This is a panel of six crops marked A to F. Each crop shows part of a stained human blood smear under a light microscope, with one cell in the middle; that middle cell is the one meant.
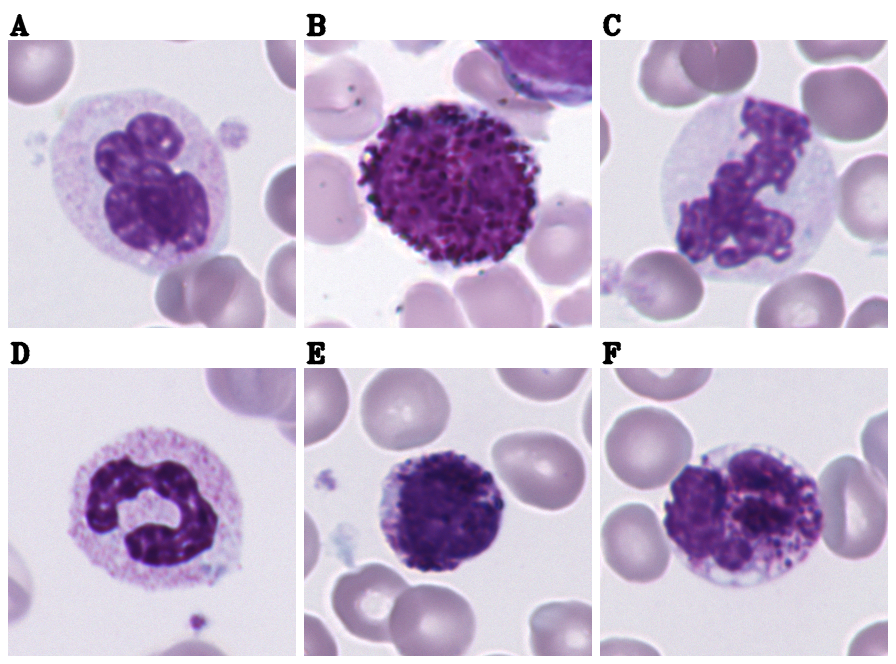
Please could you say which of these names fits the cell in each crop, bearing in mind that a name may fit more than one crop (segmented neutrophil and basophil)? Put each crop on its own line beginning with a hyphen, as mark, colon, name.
- A: segmented neutrophil
- B: basophil
- C: segmented neutrophil
- D: segmented neutrophil
- E: basophil
- F: basophil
